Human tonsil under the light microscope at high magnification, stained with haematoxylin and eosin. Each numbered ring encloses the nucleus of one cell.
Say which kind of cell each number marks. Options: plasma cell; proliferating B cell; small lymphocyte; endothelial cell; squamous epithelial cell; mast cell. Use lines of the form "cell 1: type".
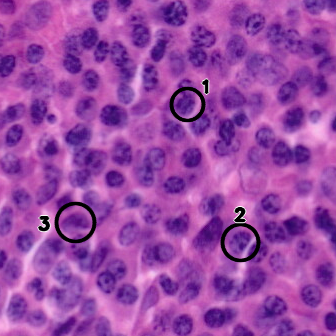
cell 1: plasma cell
cell 2: plasma cell
cell 3: squamous epithelial cell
